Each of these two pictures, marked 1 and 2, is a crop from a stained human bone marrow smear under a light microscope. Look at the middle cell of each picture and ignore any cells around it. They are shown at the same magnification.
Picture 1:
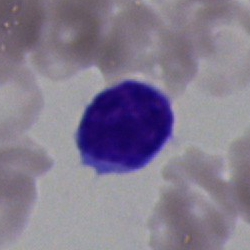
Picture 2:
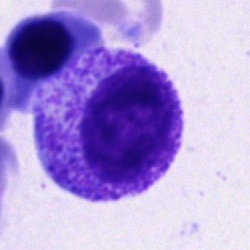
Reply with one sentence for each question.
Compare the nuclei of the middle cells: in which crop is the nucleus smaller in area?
It is the nucleus in picture 1; the one in picture 2 has about 1.5 times its area.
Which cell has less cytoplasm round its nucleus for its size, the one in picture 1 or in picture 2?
The nucleus fills more of the cell in picture 1 than in picture 2.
